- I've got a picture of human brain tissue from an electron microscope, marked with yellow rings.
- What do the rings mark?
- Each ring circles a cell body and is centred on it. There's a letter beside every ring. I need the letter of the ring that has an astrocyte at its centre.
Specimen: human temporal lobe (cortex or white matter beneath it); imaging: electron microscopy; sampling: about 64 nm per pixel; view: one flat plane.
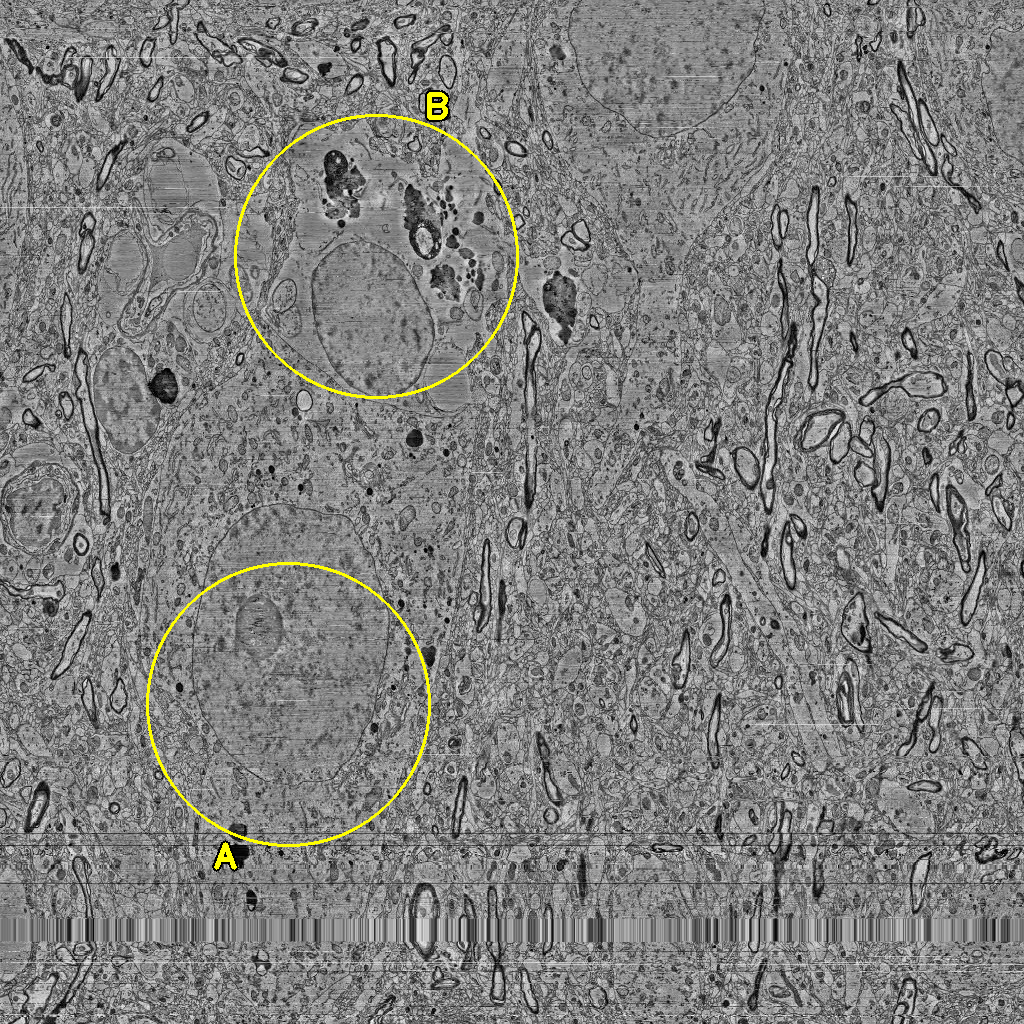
B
